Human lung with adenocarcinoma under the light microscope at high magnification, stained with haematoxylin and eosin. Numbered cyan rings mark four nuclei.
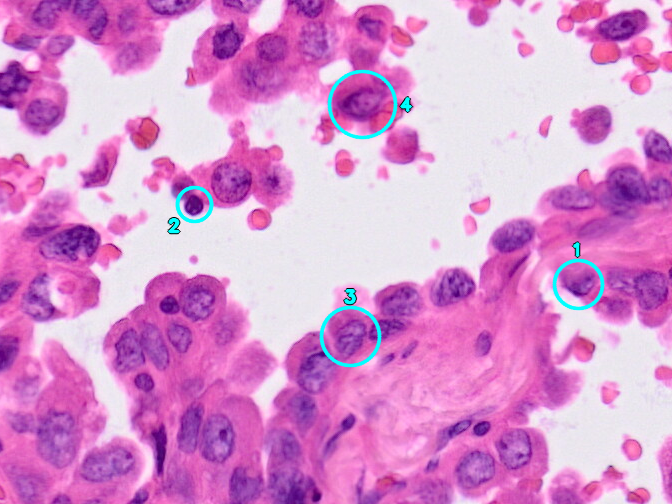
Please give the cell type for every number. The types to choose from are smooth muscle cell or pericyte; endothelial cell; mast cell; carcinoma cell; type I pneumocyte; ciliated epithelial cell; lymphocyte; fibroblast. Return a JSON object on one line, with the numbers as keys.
{"1": "carcinoma cell", "2": "lymphocyte", "3": "carcinoma cell", "4": "carcinoma cell"}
